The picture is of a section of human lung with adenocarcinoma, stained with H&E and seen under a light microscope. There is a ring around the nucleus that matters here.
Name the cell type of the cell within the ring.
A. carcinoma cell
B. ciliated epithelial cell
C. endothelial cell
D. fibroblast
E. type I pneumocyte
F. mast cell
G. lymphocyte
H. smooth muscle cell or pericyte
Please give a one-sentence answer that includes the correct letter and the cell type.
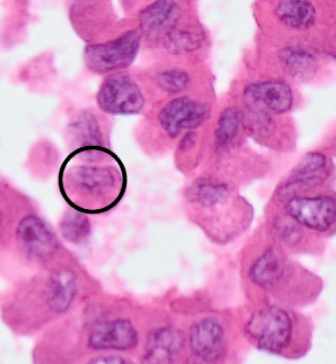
In this section the cell within the ring is a carcinoma cell; option A is therefore correct.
